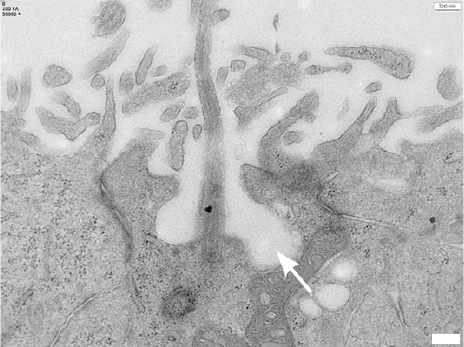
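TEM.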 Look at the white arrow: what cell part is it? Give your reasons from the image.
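A ciliary shaft emerges from the cell surface. The arrow points to a pale membrane-lined invagination around the base of the shaft. So: ciliary pockets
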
